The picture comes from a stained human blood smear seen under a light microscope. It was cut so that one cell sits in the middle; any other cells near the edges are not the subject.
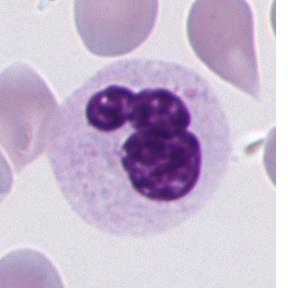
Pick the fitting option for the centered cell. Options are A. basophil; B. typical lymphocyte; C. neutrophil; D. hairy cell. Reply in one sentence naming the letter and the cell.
The one cell at the centre is a neutrophil, as correctly stated in option C.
